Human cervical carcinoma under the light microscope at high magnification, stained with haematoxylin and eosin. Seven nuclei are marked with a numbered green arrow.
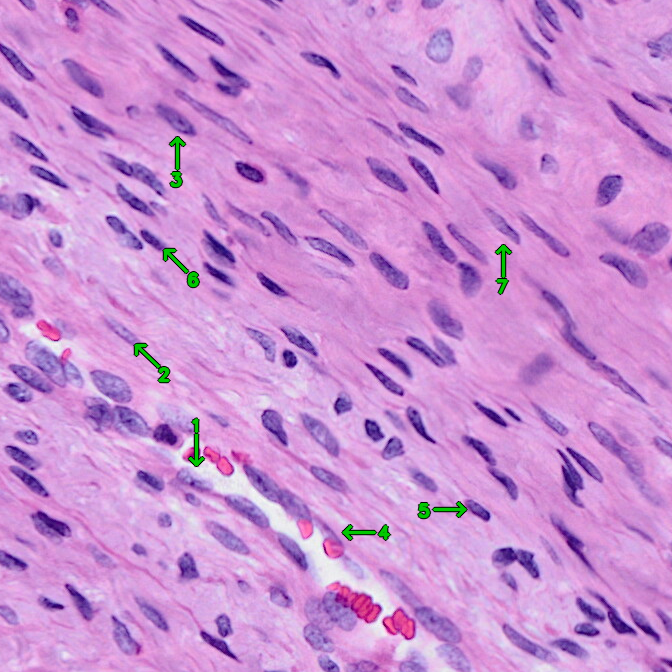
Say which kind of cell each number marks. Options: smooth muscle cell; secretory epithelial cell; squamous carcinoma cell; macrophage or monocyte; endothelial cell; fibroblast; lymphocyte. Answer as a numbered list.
1. endothelial cell
2. smooth muscle cell
3. fibroblast
4. endothelial cell
5. fibroblast
6. fibroblast
7. fibroblast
